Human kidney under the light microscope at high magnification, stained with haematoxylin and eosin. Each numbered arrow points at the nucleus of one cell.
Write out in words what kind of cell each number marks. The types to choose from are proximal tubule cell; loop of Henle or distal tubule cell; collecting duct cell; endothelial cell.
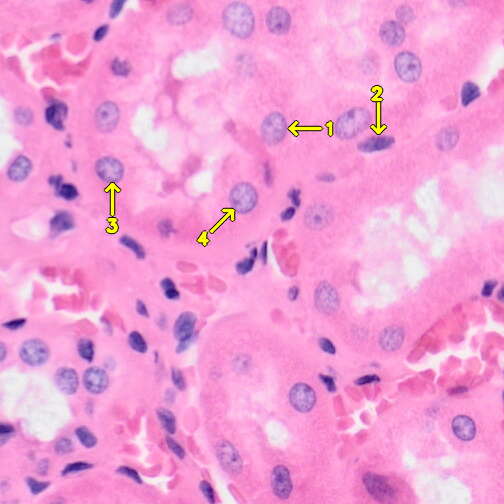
Cells 1, 3 and 4 are proximal tubule cells. Cell 2 is an endothelial cell.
